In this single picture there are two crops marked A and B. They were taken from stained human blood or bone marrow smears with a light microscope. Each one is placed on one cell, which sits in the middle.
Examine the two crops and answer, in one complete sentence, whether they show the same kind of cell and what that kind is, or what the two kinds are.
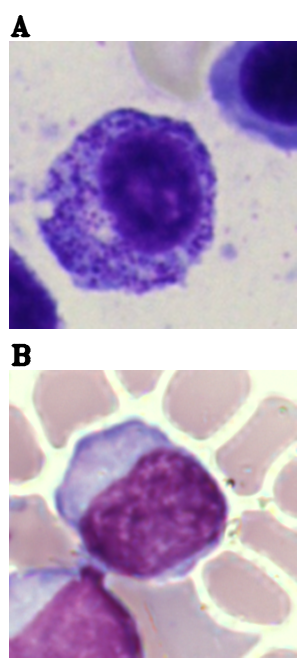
No, look again: crop A shows a myelocyte, and crop B shows a plasma cell.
